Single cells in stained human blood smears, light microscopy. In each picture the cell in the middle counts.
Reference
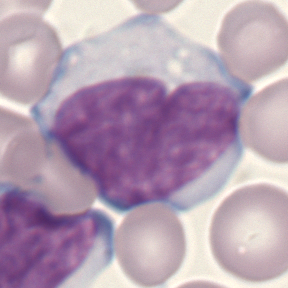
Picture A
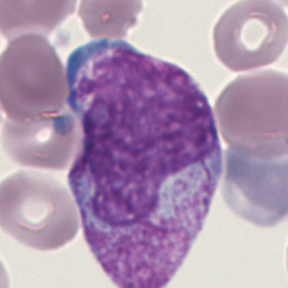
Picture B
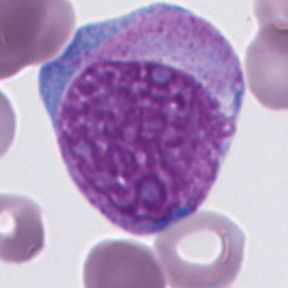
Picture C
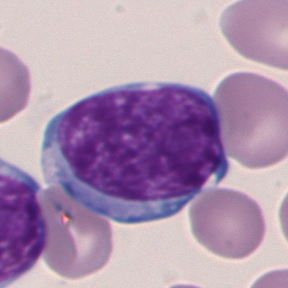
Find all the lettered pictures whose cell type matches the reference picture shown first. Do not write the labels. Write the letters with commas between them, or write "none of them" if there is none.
C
